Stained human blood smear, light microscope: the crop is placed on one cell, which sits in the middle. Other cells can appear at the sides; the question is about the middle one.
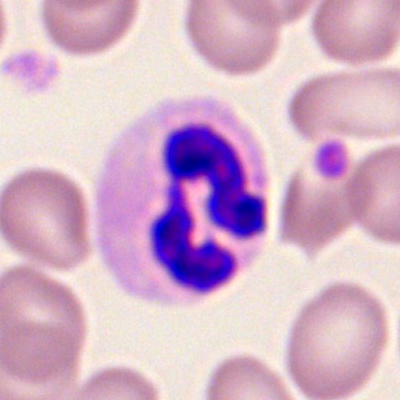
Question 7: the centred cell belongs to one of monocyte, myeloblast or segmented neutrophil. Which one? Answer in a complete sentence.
What the crop centres on is a segmented neutrophil.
